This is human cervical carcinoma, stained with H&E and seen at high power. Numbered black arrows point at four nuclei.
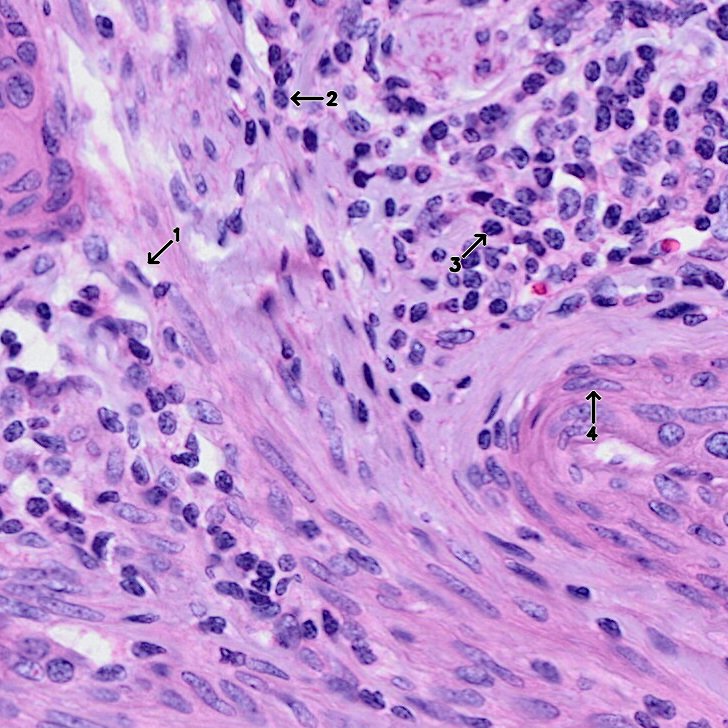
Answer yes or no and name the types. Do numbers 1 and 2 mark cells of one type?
Yes, cells 1 and 2 are both recognised as lymphocytes.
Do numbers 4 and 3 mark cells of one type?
No, cell 4 is a smooth muscle cell; cell 3 is a lymphocyte.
